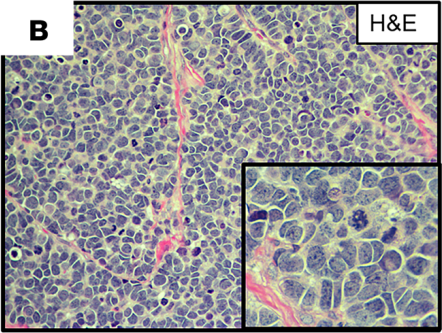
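The sheets are divided by thin pink strands of fibrous septa carrying small vessels. In the higher-power inset the nuclei show finely granular chromatin, and one cell has condensed chromosomes of a dividing cell. No glands or other organized structures form.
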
